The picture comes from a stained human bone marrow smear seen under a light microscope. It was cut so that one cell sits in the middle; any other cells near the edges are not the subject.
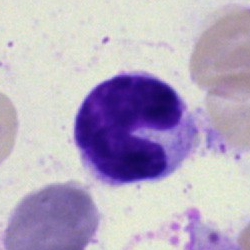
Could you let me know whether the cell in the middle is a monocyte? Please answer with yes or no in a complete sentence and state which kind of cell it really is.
No, the middle cell is classified as a band neutrophil instead of a monocyte.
